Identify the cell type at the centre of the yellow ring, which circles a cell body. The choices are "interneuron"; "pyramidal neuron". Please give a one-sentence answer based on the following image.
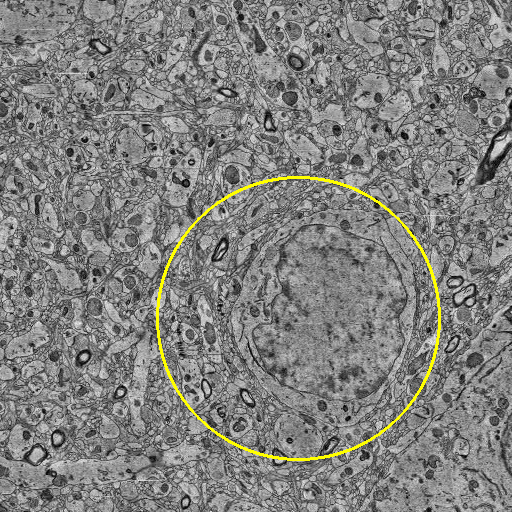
The cell marked by the ring is an interneuron.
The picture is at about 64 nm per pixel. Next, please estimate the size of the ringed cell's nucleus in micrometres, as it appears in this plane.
The ringed cell's nucleus is about 11 micrometres across in this plane.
